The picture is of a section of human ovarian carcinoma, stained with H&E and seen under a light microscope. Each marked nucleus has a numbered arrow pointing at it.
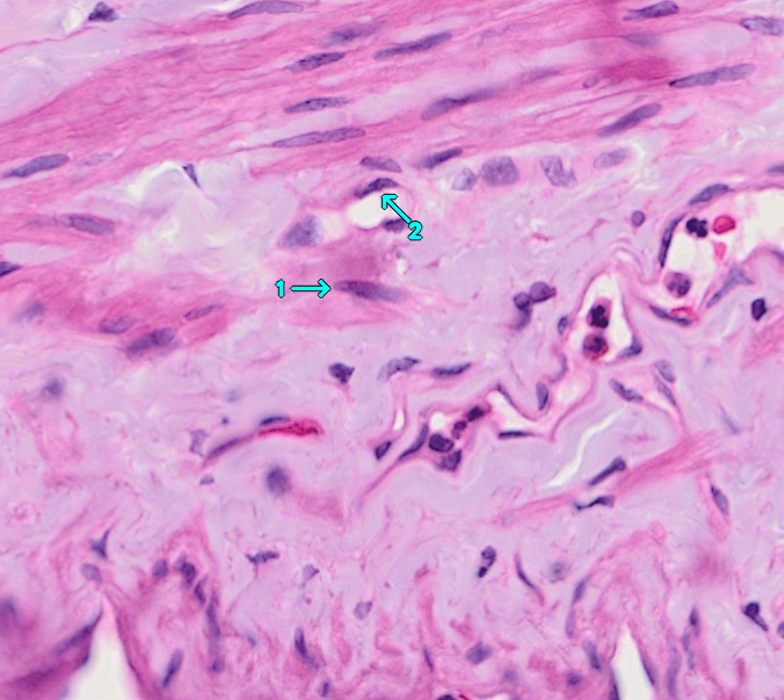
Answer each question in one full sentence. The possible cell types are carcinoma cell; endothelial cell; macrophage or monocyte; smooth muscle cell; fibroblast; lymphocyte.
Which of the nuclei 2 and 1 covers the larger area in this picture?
Nucleus 1 is larger, with an area about 2 times that of nucleus 2.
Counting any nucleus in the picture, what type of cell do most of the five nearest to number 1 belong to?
Most of the five nuclei nearest to number 1 are those of endothelial cells.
